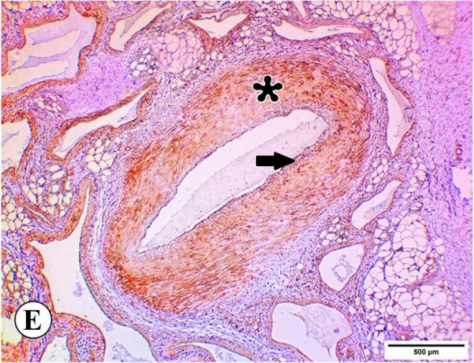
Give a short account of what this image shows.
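This is a cross section of an artery with an elongated, slit-like lumen and a thick tunica media stained brown to reddish brown. The thin lining facing the lumen, where the endothelial cells of the tunica intima lie, is also brown. Around the artery lie paler connective tissue, thin-walled vessels and groups of pale, empty-looking fat cells.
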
